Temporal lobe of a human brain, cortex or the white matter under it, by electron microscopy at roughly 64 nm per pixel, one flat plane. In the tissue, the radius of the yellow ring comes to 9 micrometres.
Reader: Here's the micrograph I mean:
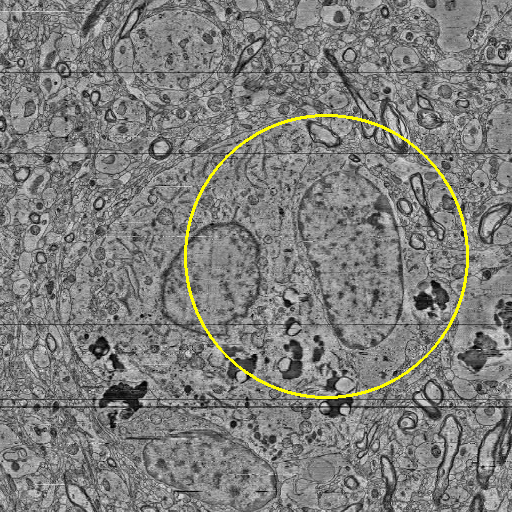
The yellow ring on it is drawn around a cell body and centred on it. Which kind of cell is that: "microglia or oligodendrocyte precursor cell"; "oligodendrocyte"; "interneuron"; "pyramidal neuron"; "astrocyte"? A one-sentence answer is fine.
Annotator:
The ring is centred on a microglial cell or oligodendrocyte precursor cell.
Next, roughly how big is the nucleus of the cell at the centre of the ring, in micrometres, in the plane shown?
Roughly 12 micrometres long and 6 micrometres wide; in this plane the nucleus is clearly longer than it is wide.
